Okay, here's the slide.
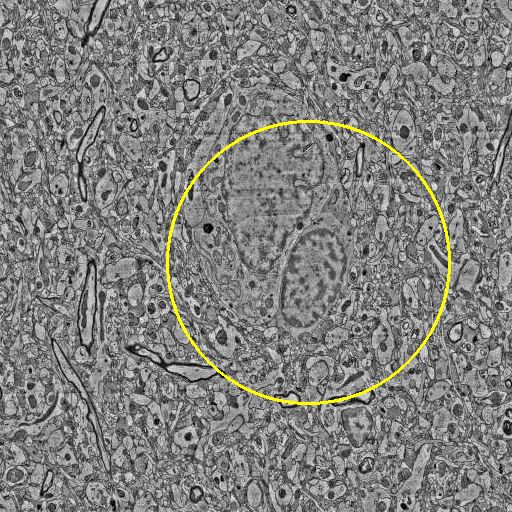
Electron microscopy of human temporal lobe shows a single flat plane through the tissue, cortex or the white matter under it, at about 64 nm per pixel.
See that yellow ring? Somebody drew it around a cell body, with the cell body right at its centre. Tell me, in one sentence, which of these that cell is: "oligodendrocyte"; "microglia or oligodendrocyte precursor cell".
The cell in the middle of the ring is an oligodendrocyte.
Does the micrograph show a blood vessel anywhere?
No, none appears.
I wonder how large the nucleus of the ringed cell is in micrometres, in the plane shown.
Roughly 6 micrometres long and 4 micrometres wide; in this plane the nucleus is clearly longer than it is wide.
